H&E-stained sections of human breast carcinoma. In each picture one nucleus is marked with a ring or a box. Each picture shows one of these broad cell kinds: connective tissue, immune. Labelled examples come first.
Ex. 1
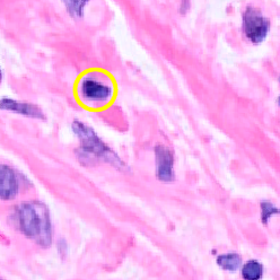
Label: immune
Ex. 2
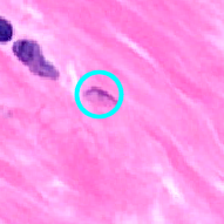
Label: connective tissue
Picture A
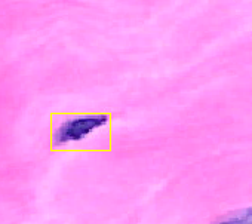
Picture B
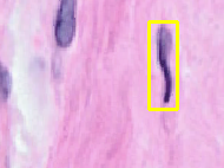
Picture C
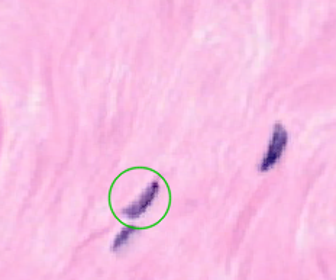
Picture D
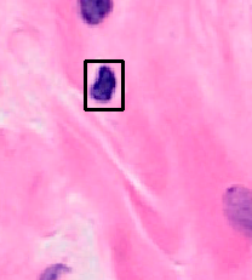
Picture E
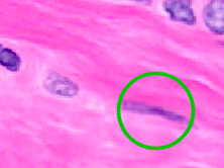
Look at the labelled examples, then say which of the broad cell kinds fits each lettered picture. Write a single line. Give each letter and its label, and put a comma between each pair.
A connective tissue, B connective tissue, C connective tissue, D immune, E connective tissue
